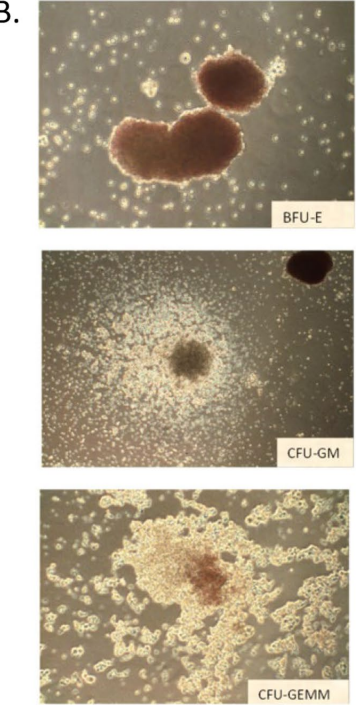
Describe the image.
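In the top view two large, compact, reddish-brown masses of densely packed small cells lie side by side among scattered single small round cells. In the middle view a small dark dense core is surrounded by a wide halo of loosely dispersed small round refractile cells, with a separate dark compact colony at the upper edge. In the bottom view a reddish-brown centre is ringed by a broad, loosely packed spread of round cells, combining the dense coloured core of one colony type with the spreading halo of the other.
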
